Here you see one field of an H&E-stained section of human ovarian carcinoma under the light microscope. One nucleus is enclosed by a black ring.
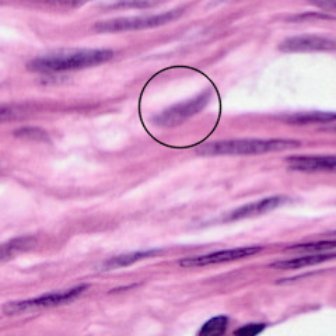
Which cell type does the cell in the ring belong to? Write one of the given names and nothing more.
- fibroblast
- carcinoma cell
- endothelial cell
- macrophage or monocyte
fibroblast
